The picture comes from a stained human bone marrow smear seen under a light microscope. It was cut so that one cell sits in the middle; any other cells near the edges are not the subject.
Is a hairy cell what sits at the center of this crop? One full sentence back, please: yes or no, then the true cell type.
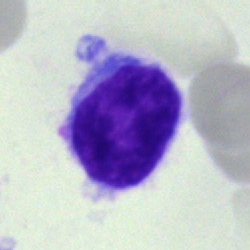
Yes, the identification of the central cell as a hairy cell is correct.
